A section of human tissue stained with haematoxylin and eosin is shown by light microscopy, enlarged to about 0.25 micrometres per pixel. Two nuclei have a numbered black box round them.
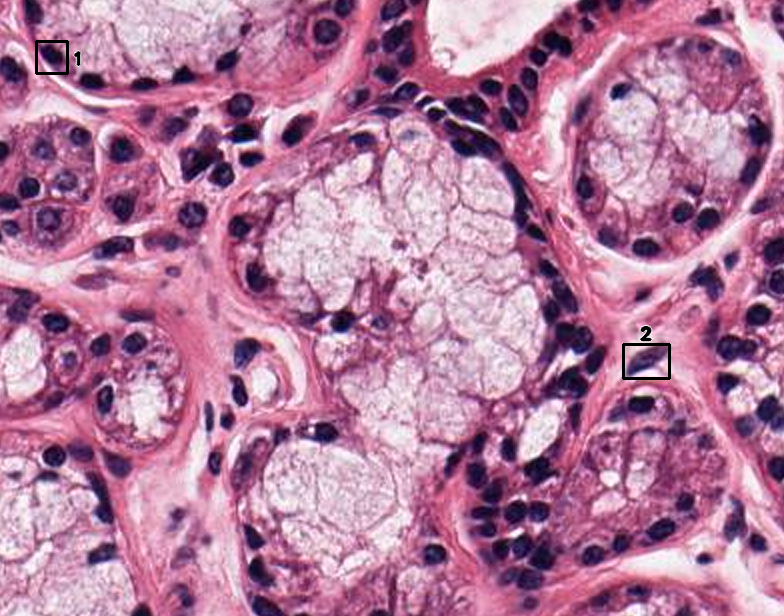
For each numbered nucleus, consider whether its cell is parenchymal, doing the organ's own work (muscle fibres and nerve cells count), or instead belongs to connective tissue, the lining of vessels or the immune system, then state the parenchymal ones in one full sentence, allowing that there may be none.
The numbered nucleus that belongs to a parenchymal cell is nucleus 1, and no other.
